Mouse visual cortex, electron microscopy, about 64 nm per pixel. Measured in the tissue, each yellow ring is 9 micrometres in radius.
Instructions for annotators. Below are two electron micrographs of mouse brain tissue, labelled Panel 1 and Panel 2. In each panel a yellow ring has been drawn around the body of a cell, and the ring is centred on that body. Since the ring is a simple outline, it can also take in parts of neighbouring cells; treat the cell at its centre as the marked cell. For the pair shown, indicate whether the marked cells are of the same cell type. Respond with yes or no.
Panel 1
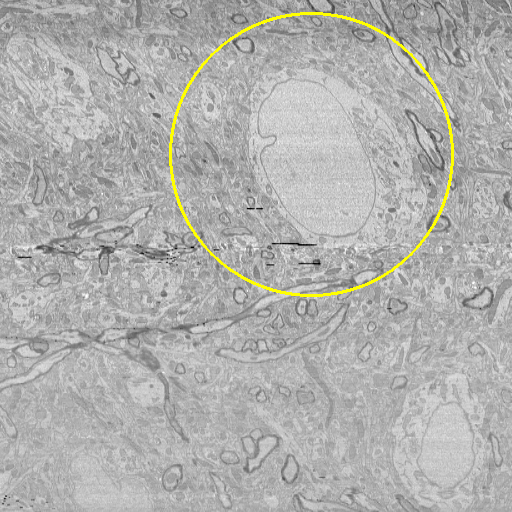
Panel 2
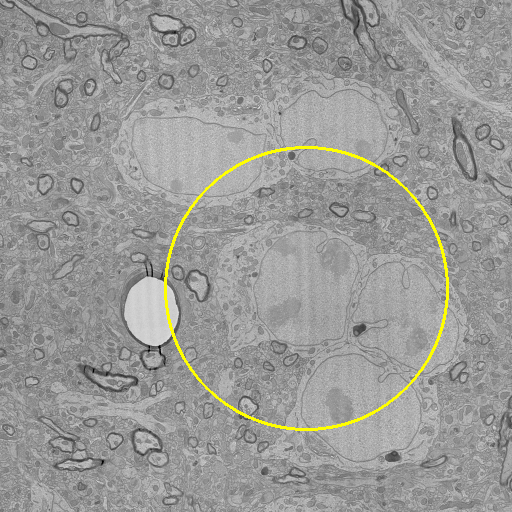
yes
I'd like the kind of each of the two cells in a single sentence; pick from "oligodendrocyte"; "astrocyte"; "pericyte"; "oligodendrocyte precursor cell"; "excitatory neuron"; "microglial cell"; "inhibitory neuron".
Each of the ringed cells, first and second, is an excitatory neuron.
